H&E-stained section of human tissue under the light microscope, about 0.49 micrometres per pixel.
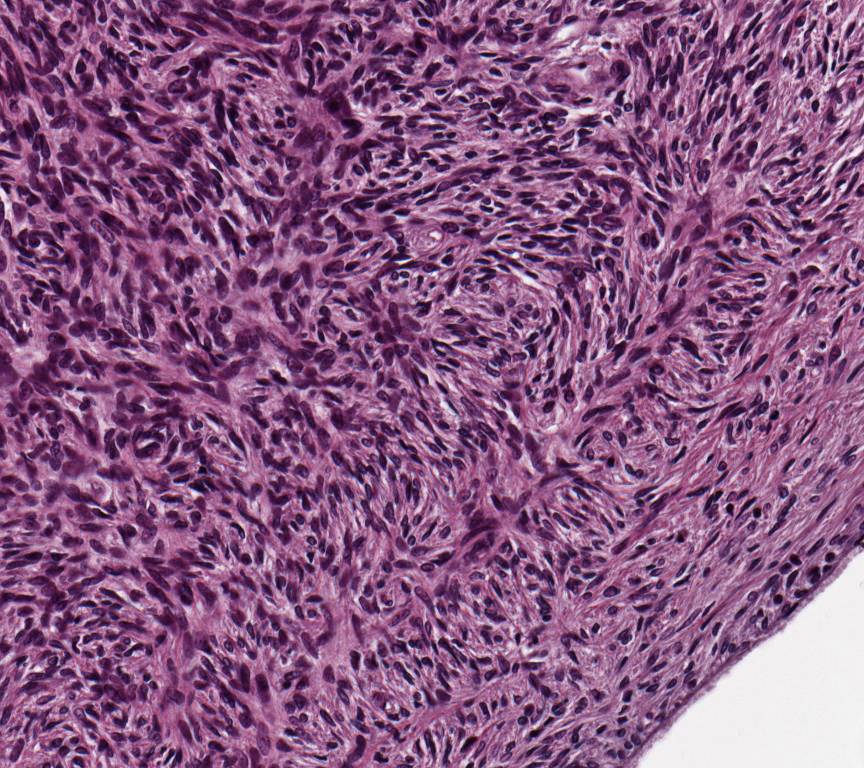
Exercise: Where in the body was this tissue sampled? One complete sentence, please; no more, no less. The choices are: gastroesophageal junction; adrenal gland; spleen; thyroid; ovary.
The sampled site for this tissue is the ovary.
